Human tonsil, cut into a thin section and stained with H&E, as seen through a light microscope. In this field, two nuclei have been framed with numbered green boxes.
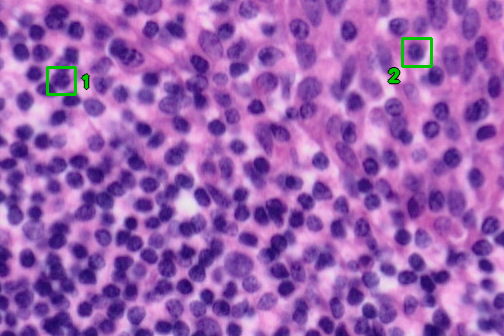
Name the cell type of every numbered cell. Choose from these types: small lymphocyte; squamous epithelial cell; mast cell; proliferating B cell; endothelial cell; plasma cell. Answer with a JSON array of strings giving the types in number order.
["small lymphocyte", "plasma cell"]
